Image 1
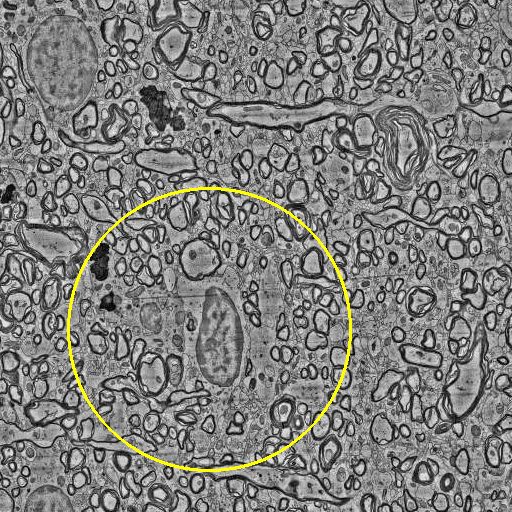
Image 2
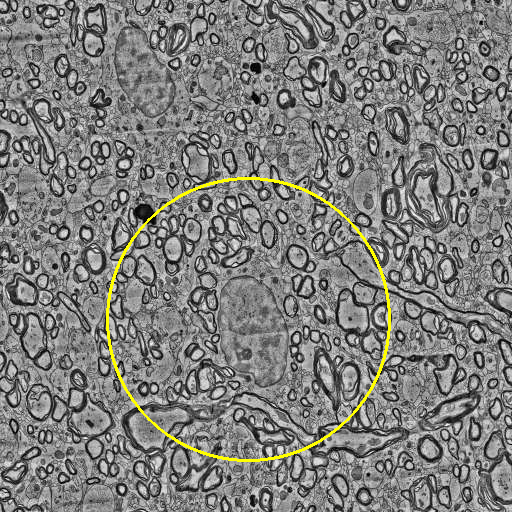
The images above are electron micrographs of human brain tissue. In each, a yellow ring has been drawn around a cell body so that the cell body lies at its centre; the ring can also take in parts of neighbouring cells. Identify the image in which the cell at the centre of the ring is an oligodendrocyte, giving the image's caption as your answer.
Image 2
